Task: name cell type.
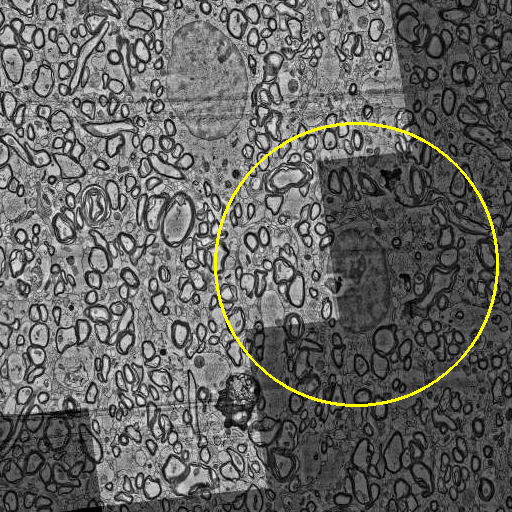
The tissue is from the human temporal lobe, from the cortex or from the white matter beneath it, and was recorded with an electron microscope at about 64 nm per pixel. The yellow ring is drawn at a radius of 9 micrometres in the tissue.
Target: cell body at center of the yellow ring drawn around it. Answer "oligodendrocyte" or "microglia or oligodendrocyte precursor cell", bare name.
oligodendrocyte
